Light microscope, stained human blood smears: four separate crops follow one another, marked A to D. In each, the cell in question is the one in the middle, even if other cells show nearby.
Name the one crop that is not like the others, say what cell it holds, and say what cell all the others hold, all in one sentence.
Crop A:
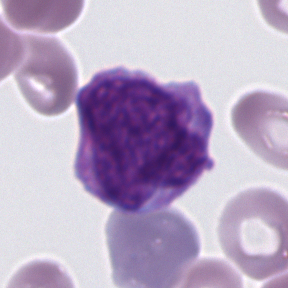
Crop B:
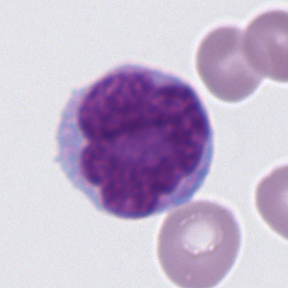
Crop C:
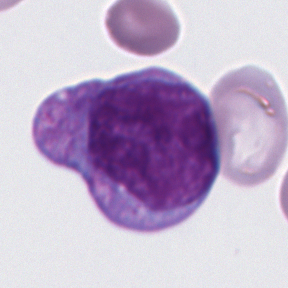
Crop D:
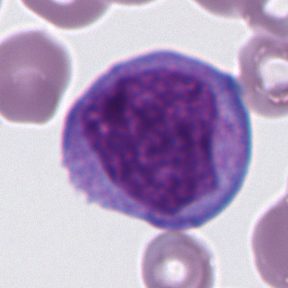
All crops show atypical promyelocytes except crop B, which is a monocyte.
